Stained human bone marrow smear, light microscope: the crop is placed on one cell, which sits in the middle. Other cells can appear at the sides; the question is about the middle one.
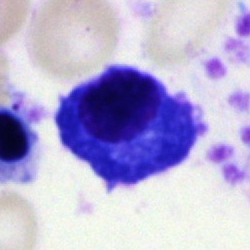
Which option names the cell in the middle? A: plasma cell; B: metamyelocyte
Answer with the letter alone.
A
